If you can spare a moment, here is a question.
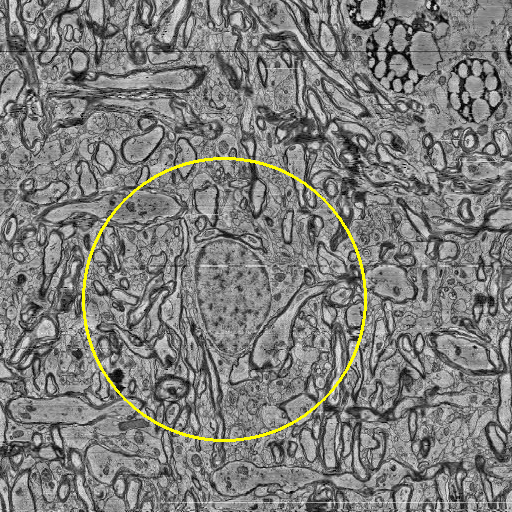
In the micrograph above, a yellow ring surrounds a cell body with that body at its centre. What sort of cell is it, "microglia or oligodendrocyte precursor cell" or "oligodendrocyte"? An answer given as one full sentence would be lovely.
Centred inside the yellow ring, the cell body shown belongs to a microglial cell or oligodendrocyte precursor cell in this micrograph.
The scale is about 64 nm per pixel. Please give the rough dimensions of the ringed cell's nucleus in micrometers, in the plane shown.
The nucleus of the ringed cell is clearly longer than it is wide in this plane, about 8 by 5 micrometres.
